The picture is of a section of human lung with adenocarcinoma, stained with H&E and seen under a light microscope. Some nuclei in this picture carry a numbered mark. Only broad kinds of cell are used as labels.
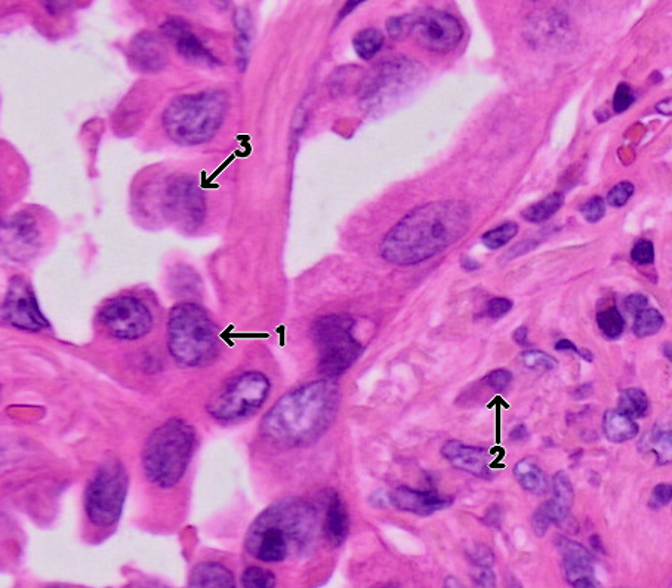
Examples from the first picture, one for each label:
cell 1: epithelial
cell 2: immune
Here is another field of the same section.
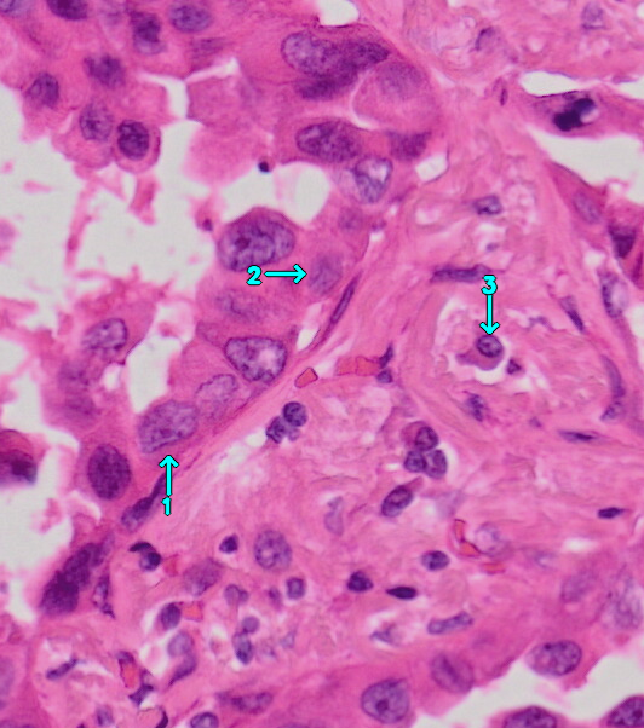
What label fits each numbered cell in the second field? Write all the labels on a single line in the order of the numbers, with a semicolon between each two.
epithelial; epithelial; immune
